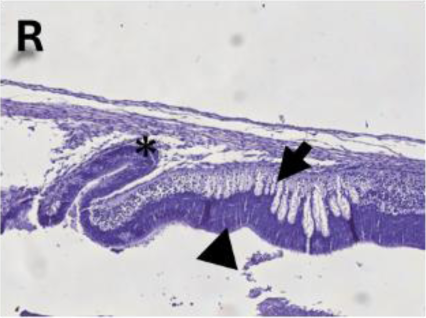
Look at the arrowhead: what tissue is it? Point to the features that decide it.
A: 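Sub-commissural organ. A dense, dark purple layer of tall, closely packed cells lies beneath the pale fibre bundles. This layer lines the inner surface of the neural wall.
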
